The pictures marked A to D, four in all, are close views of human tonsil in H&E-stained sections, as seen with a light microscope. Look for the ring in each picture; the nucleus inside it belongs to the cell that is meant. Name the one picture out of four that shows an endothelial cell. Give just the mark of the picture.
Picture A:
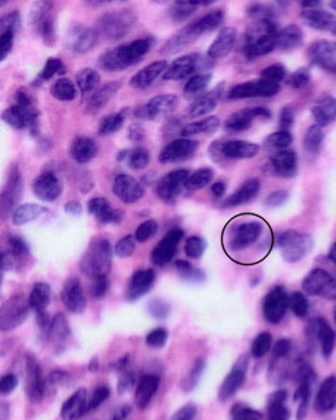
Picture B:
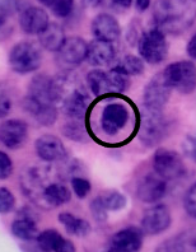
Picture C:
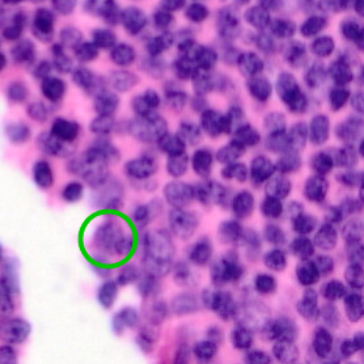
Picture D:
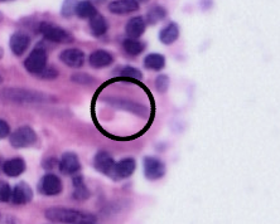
D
